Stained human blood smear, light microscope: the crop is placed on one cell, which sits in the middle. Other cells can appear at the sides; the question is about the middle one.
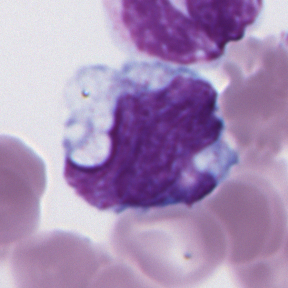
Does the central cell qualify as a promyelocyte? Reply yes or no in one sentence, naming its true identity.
No; rather than a promyelocyte, the cell at the center is a monocyte.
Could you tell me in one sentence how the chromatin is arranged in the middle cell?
Its chromatin is finely dispersed rather than coarsely clumped.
